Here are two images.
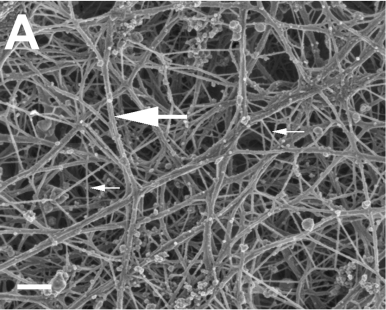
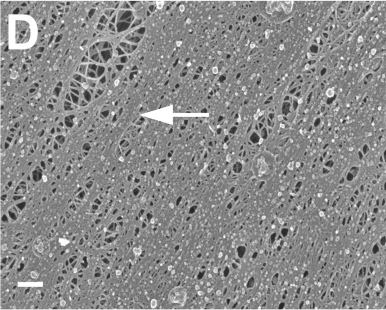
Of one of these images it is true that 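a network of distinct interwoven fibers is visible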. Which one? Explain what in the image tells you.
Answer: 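The first image. First image: a loose meshwork of thick and thin fibers crossing each other.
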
